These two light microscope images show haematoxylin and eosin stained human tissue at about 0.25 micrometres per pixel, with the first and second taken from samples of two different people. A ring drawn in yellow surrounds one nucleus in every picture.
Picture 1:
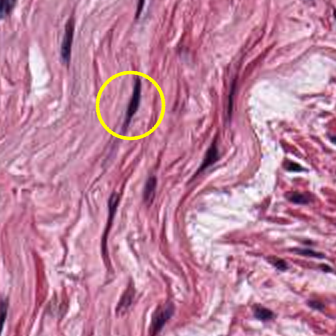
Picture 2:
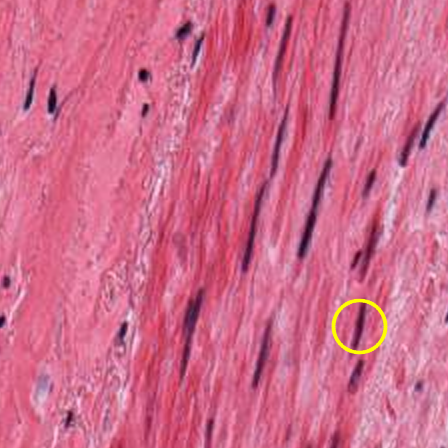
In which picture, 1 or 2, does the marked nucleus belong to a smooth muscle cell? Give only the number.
2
